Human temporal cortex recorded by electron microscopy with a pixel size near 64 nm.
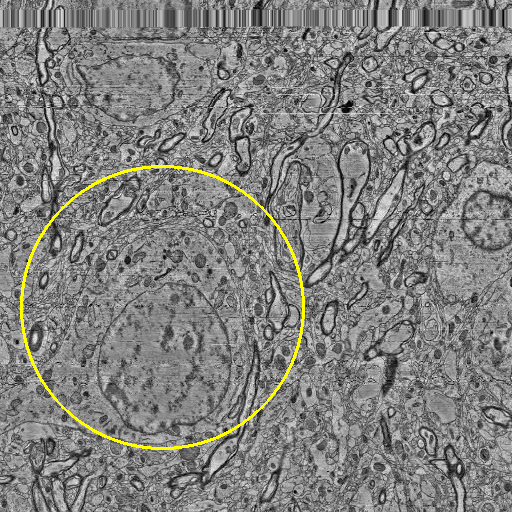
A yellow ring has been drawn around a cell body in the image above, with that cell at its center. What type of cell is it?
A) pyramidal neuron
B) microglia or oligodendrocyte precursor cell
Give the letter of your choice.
A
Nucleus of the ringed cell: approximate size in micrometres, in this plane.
Roughly 10 micrometres by 9 micrometres, in this plane.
